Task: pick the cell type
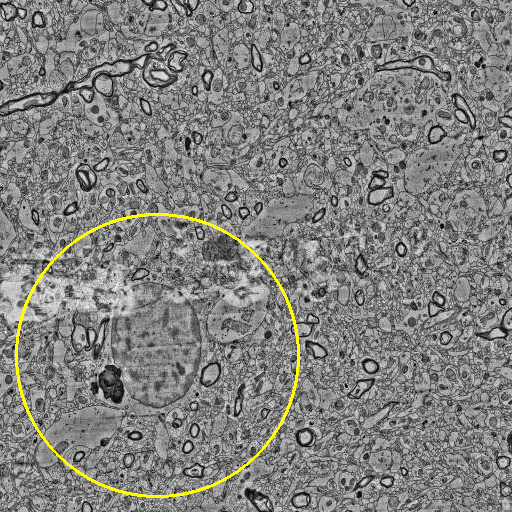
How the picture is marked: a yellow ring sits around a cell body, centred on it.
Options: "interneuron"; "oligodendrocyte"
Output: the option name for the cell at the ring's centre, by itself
oligodendrocyte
